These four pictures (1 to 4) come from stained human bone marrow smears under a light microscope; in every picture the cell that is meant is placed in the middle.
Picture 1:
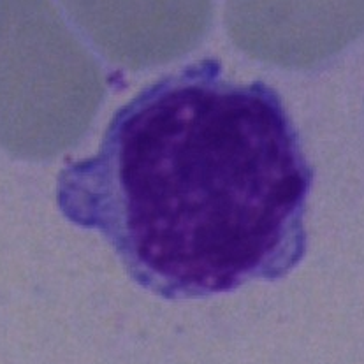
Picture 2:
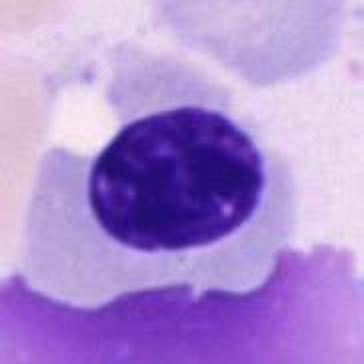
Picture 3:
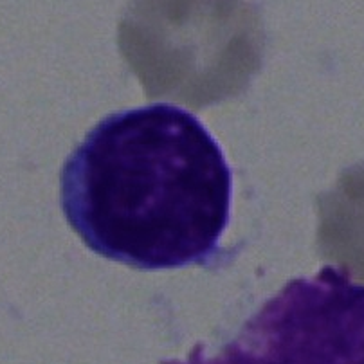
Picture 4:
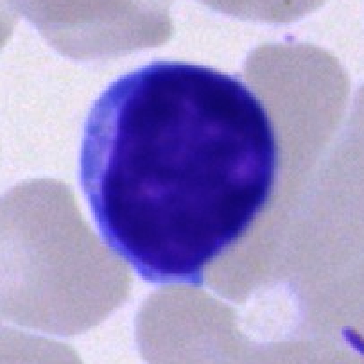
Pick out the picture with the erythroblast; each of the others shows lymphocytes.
2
